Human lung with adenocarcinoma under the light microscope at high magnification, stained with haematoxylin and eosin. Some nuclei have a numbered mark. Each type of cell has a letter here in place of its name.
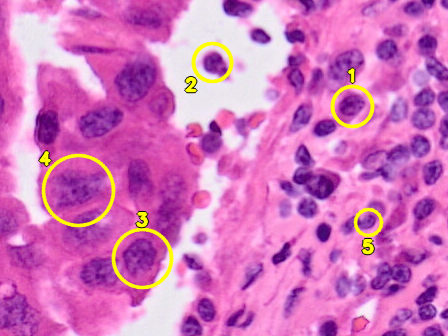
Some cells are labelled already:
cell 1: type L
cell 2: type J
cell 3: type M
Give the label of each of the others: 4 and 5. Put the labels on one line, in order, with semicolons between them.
type M; type J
